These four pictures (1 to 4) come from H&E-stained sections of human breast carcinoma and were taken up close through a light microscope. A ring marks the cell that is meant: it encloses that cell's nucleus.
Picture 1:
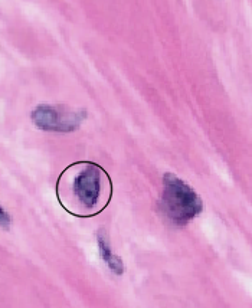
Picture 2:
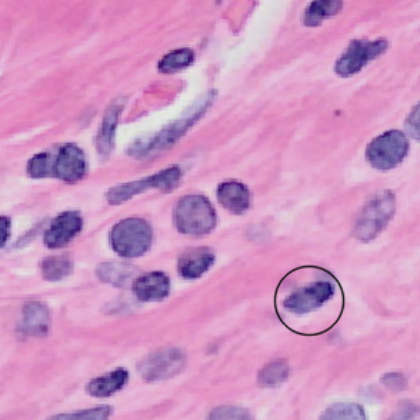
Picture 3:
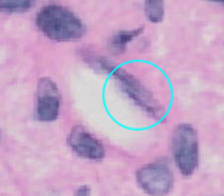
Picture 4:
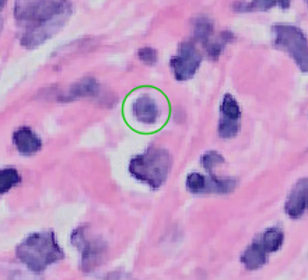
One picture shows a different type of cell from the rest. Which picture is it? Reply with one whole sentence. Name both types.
Picture 3 is the odd one out: it shows an endothelial cell, while the others show lymphocytes.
